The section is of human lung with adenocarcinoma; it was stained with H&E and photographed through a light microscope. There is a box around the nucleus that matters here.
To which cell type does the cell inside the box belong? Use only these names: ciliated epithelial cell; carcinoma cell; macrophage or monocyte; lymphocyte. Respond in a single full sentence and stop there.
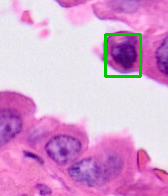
In the tissue at hand, the cell inside the box is a carcinoma cell.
